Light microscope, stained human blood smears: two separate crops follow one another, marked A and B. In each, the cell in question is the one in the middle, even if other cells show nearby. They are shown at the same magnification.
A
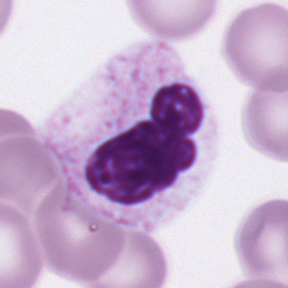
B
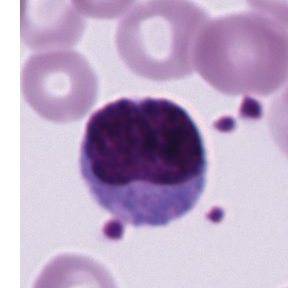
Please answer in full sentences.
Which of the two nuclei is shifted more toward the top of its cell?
In picture B the nucleus is shifted more toward the top.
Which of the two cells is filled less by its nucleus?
The nucleus fills less of the cell in picture A than in picture B.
